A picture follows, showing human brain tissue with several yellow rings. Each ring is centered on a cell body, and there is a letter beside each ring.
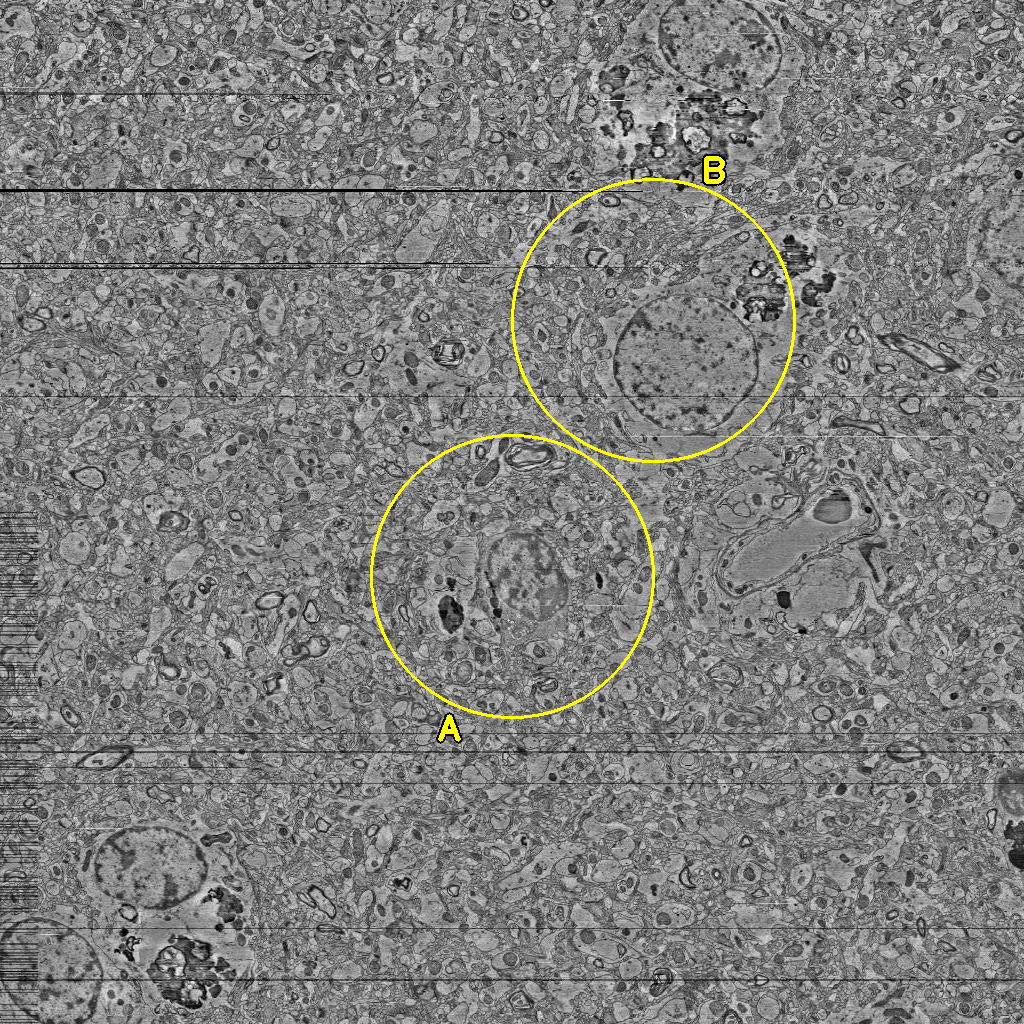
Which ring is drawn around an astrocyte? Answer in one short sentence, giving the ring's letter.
Ring B is drawn around it.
